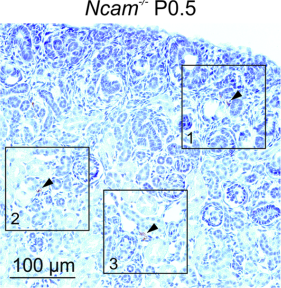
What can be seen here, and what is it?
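The field is crowded with small tubules, cut as rings and ovals of cuboidal cells whose nuclei take up the blue counterstain. Between the tubules there is a little loose tissue, which makes the section look more open in some places than in others. Almost everything is blue, so the rare brown-red spots stand out. Each of these lies as a single small stained cell in the tissue between the tubules, at the tips of the arrowheads inside the three numbered boxes.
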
